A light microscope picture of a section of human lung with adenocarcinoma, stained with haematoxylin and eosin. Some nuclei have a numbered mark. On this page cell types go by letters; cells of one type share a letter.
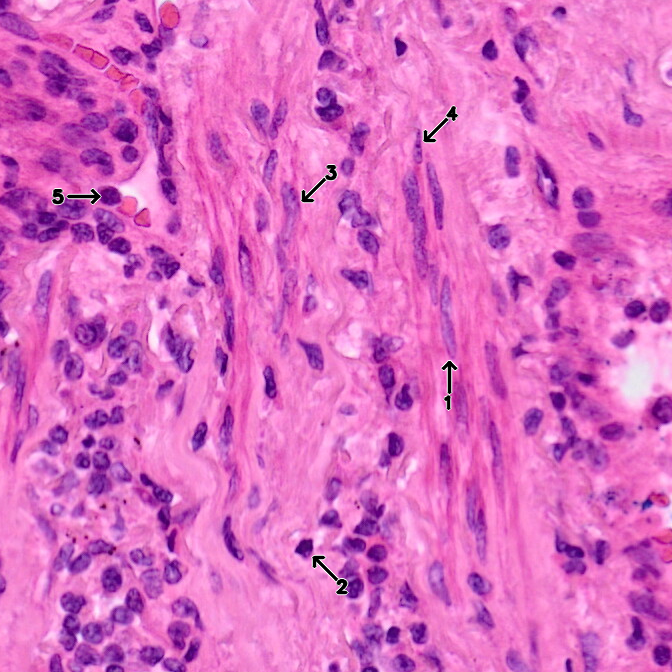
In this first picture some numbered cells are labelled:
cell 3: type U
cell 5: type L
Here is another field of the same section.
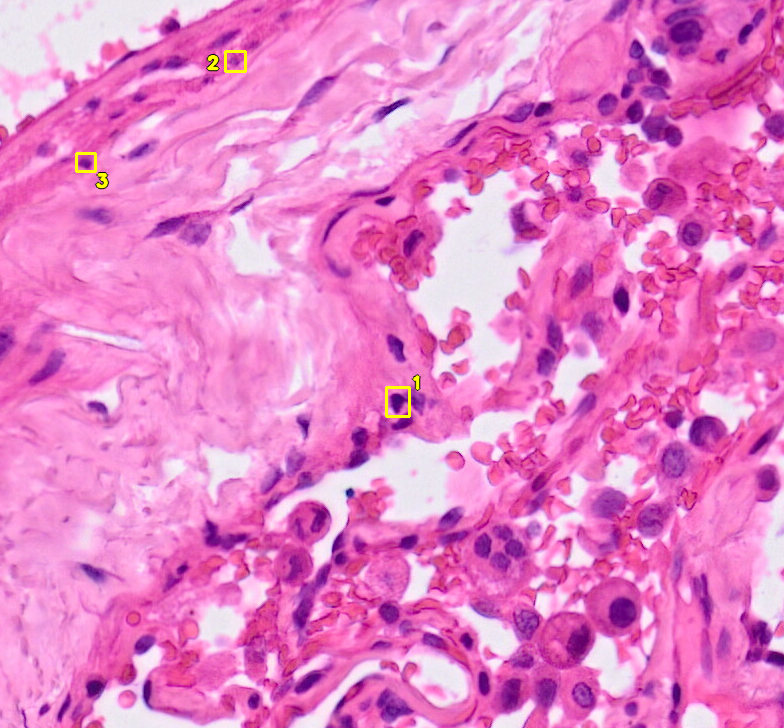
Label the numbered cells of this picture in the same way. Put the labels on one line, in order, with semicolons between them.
type L; type U; type U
